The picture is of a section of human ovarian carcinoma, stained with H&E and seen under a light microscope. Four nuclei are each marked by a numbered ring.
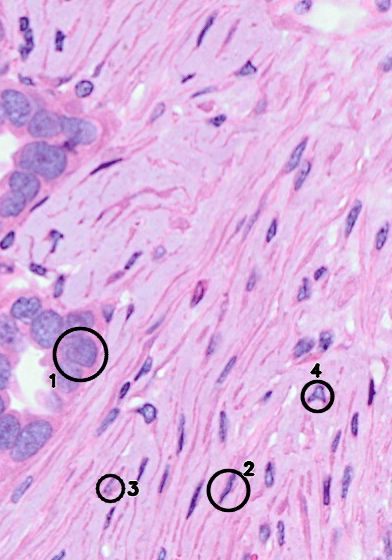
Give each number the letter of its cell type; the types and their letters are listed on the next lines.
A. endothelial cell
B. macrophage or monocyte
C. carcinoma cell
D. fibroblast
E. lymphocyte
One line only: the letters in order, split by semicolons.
C; D; D; D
